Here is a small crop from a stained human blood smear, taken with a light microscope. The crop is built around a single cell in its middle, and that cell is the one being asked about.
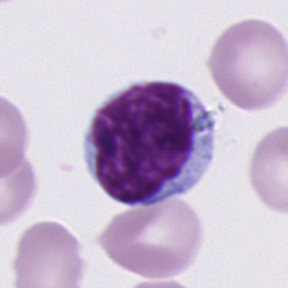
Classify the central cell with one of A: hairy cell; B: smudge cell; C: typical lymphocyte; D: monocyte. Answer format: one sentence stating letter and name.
The cell at the centre, correctly named in option C, is a typical lymphocyte.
